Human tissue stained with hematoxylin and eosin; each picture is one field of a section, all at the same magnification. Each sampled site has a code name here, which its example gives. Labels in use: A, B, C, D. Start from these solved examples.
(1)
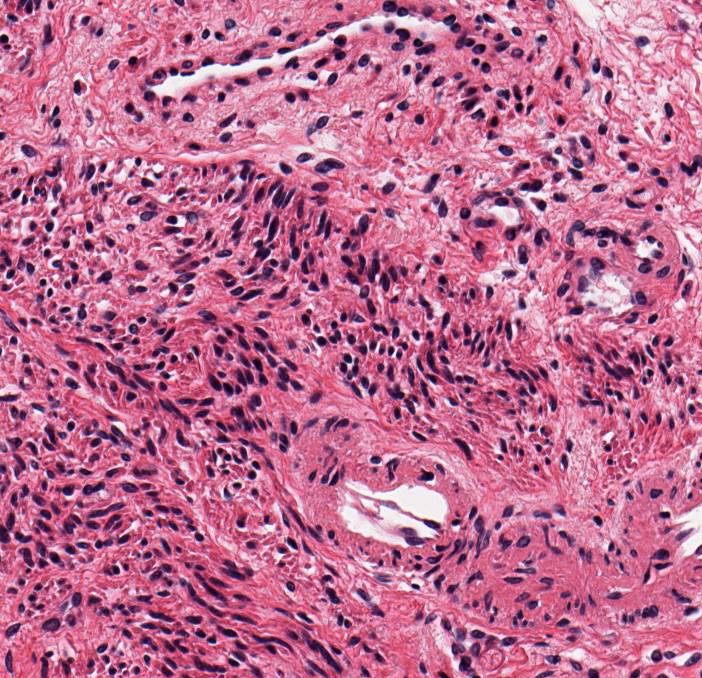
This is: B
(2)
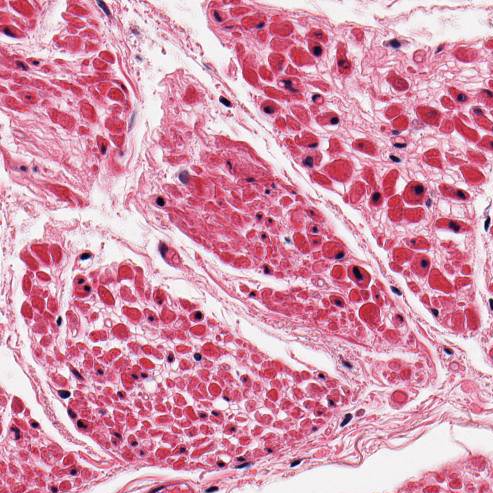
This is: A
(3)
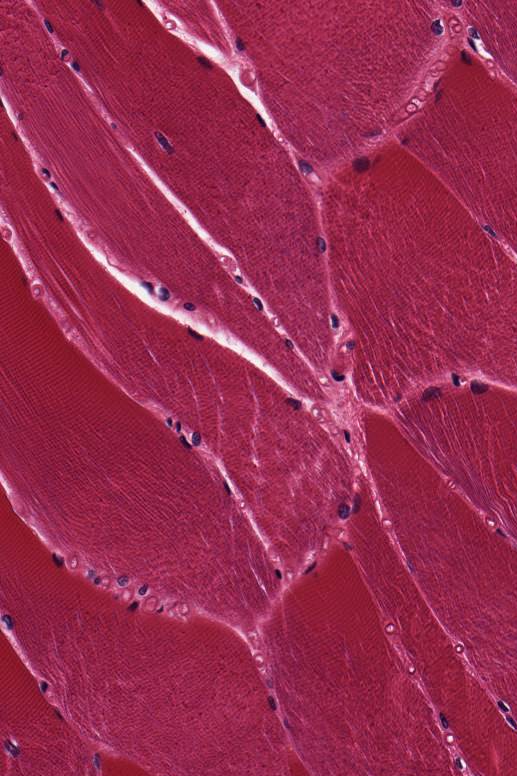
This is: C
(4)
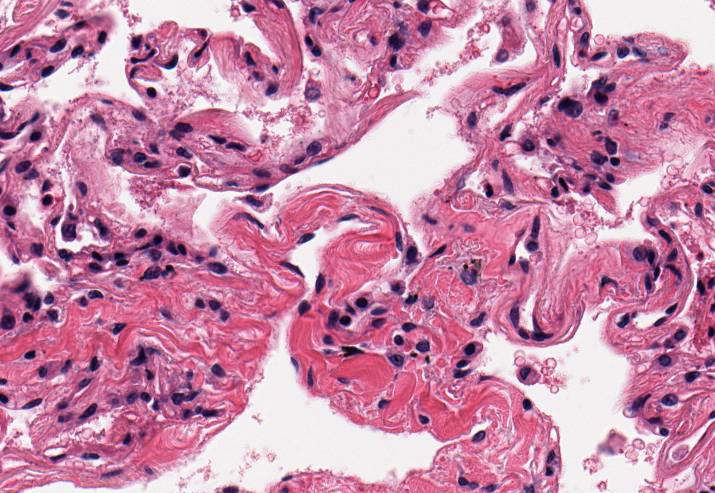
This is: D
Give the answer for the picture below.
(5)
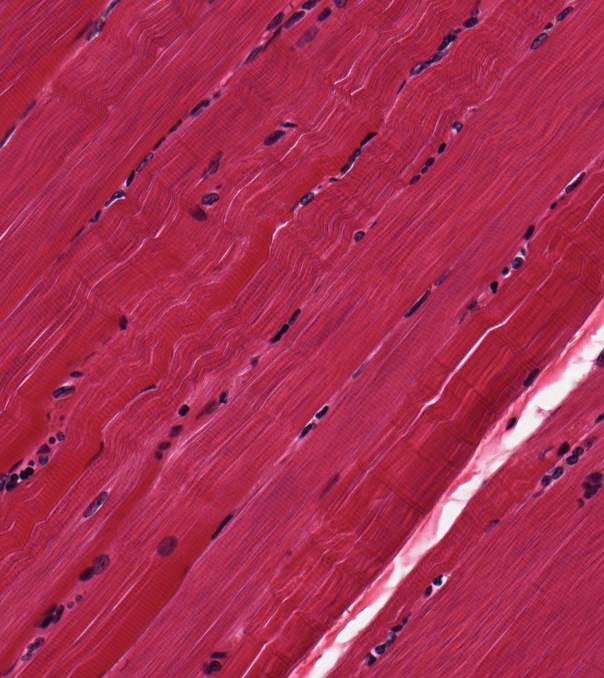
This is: C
